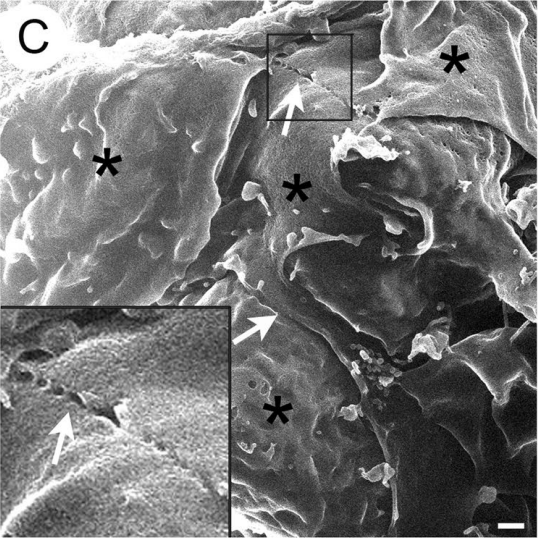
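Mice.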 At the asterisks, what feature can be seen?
Irregular, flat sheets.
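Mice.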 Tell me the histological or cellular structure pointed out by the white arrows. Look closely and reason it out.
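The arrows point at thin seam-like lines where two flat sheets meet. The enlarged inset shows a fine dotted line along the border of two sheets. So: Intercellular junctions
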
